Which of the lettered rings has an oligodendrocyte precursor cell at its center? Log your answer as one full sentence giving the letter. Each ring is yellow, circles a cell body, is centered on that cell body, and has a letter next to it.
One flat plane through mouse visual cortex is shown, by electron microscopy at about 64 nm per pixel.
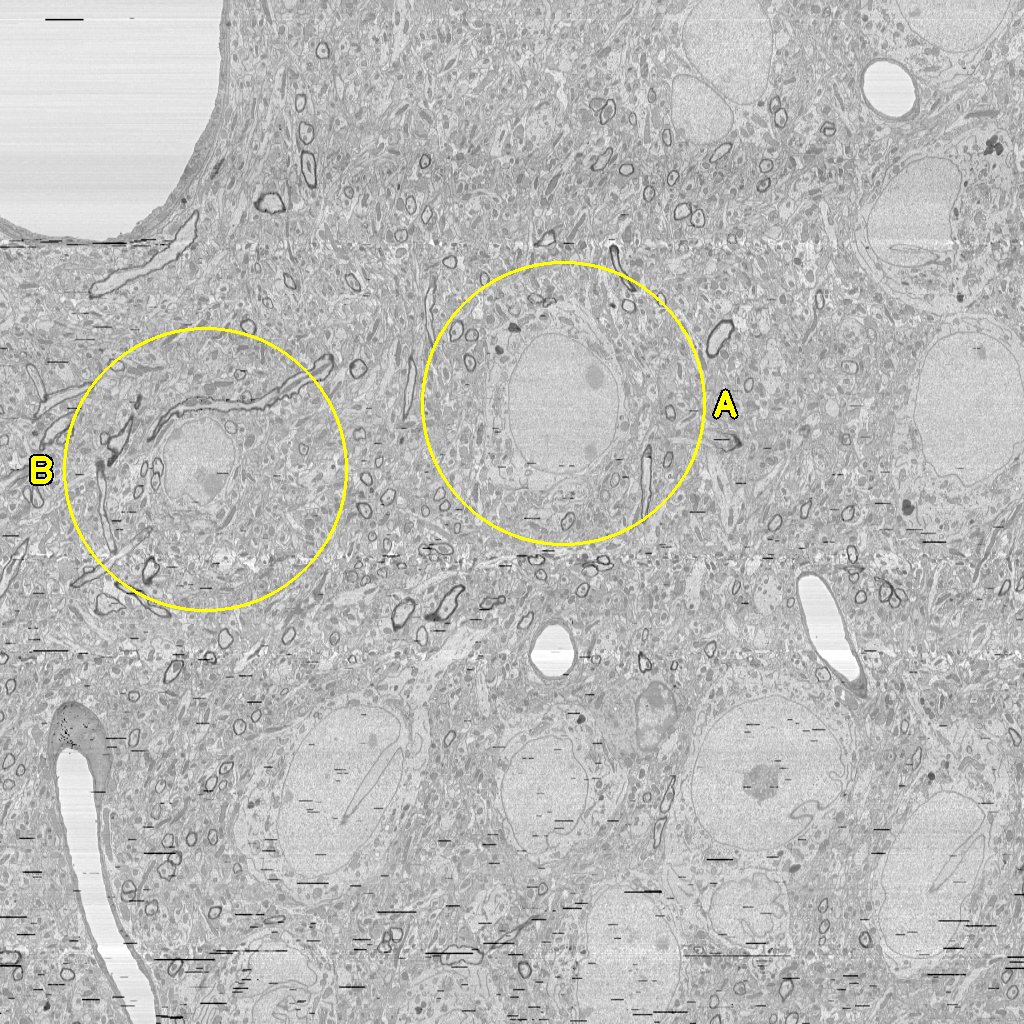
The lettered ring centered on the cell asked for is ring B.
